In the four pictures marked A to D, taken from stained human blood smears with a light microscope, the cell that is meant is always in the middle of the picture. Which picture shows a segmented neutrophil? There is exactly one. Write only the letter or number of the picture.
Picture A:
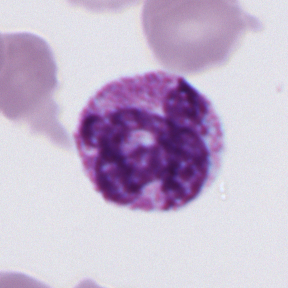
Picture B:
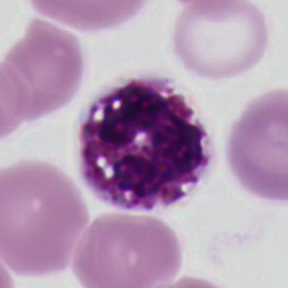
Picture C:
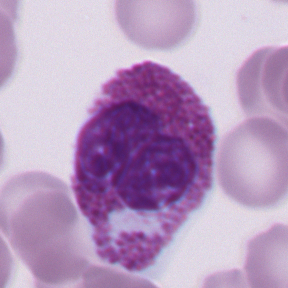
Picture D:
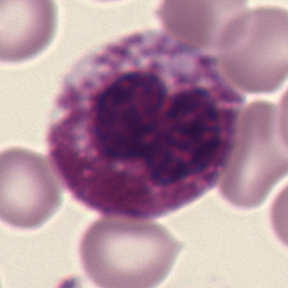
A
